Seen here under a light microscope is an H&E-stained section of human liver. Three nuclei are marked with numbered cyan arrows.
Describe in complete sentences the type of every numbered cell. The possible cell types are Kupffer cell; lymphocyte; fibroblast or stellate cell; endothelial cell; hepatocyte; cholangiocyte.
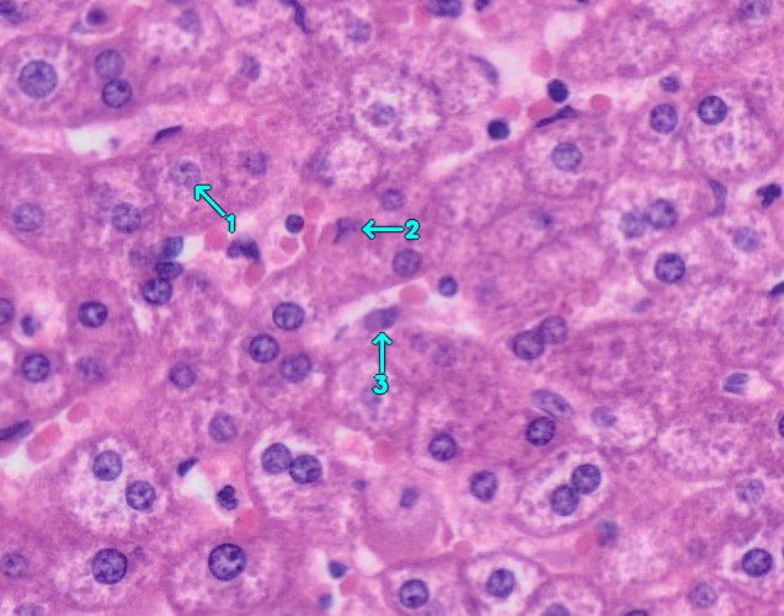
Cell 1 is a hepatocyte. Cell 2 is an endothelial cell. Cell 3 is a Kupffer cell.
